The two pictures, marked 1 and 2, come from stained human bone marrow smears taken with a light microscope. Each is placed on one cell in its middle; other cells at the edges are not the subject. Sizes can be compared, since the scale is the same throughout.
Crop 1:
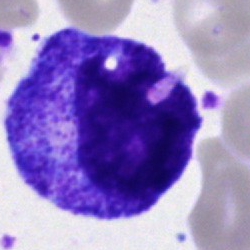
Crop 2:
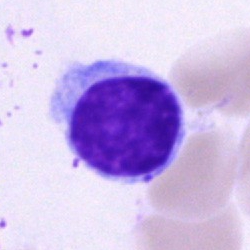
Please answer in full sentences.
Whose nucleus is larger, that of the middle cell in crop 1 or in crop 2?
The nucleus in crop 1 is larger, with about 1.5 times the area of the one in crop 2.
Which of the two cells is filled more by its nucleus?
In crop 2 the nucleus takes up the larger part of its cell.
